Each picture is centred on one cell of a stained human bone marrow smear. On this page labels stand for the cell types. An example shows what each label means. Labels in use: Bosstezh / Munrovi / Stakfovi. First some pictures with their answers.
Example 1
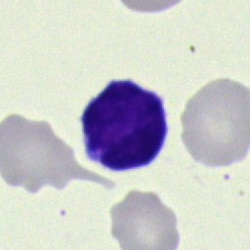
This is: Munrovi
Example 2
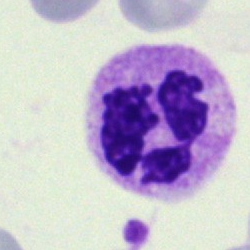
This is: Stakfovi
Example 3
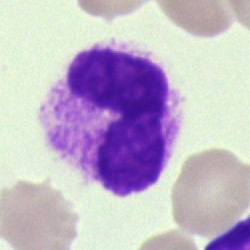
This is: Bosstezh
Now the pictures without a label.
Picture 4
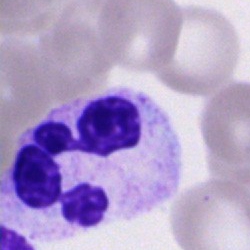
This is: Stakfovi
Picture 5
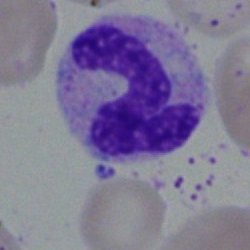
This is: Bosstezh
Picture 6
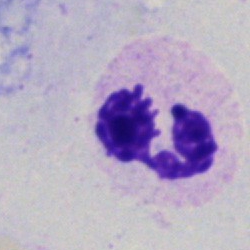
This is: Stakfovi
